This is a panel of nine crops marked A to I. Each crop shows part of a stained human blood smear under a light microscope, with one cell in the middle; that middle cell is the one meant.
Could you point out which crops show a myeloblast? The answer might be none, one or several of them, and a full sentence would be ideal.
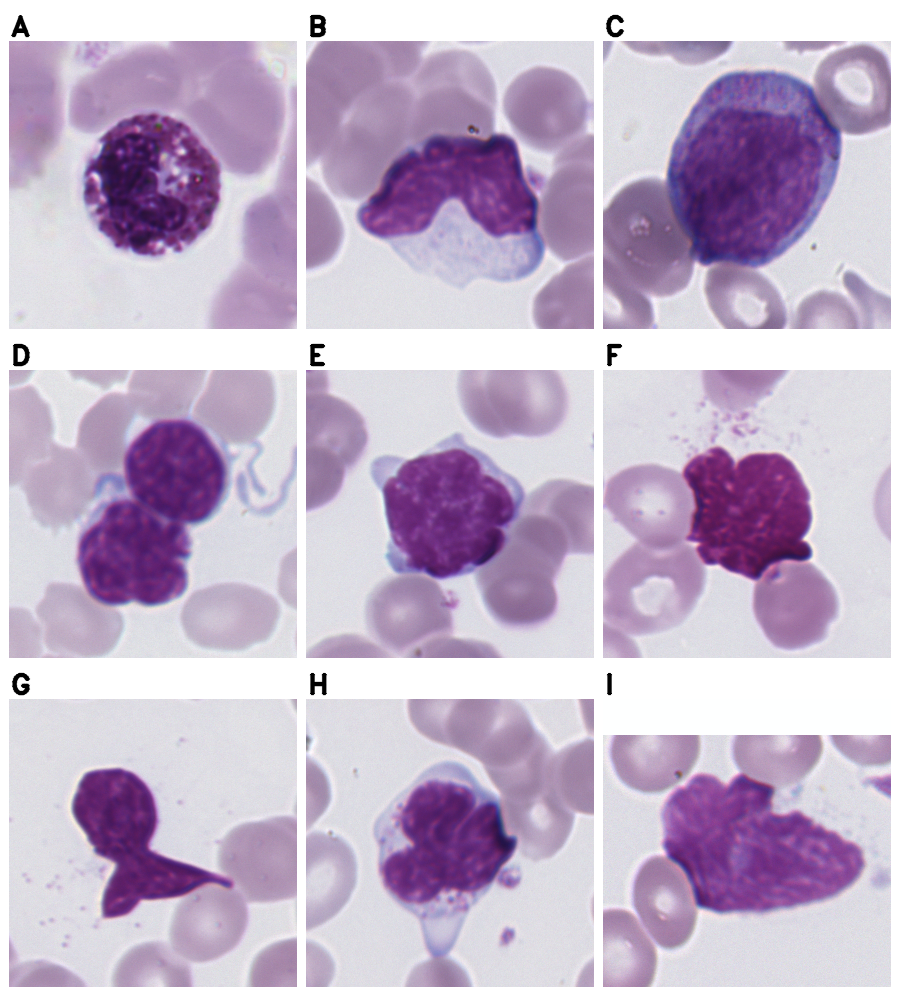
The central cell of crop D is a myeloblast; no other crop's central cell is one.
